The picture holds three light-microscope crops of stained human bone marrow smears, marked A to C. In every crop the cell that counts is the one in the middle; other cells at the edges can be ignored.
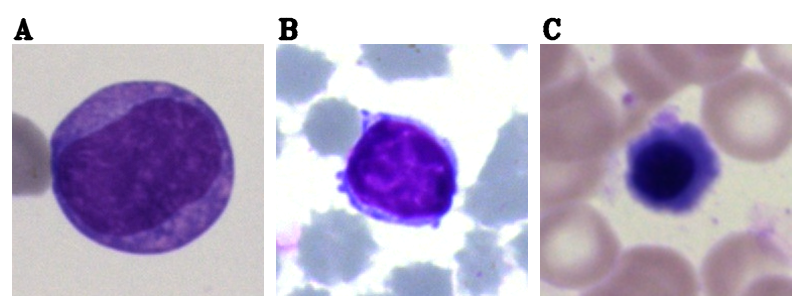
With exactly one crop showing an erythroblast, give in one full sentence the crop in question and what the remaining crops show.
The cell of interest in crop C is an erythroblast, and crop A is a blast and crop B is a lymphocyte.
